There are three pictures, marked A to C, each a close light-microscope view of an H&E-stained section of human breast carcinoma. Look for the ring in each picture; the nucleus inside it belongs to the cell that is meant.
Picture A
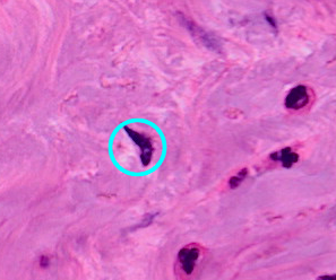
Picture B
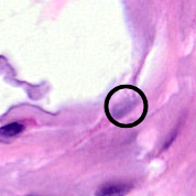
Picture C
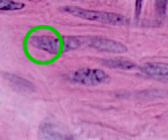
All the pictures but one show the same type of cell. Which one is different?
C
